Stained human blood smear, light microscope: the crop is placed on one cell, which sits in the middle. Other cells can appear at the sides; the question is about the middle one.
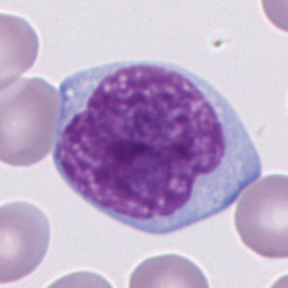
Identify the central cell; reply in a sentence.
Centred in the crop is a myeloblast.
